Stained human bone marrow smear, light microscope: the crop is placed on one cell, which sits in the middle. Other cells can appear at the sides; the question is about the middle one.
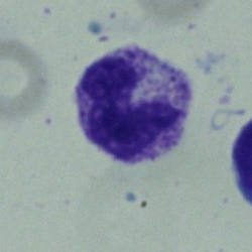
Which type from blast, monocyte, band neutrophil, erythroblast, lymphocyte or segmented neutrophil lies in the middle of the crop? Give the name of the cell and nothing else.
segmented neutrophil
